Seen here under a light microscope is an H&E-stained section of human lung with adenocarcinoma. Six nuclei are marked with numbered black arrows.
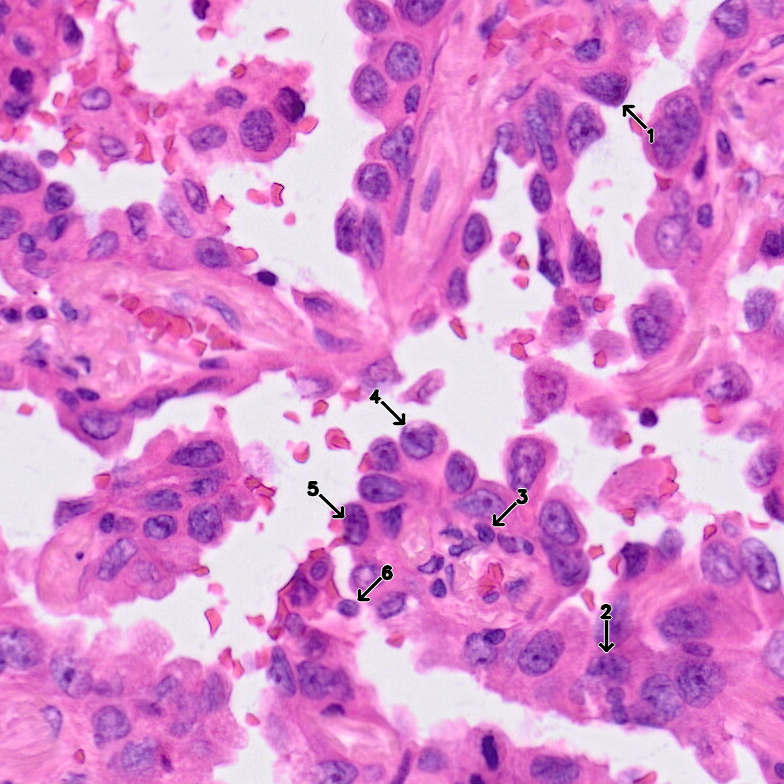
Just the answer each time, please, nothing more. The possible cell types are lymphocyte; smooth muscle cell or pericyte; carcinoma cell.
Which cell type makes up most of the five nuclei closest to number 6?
carcinoma cell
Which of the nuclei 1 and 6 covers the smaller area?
6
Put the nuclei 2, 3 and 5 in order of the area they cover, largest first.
2, 5, 3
